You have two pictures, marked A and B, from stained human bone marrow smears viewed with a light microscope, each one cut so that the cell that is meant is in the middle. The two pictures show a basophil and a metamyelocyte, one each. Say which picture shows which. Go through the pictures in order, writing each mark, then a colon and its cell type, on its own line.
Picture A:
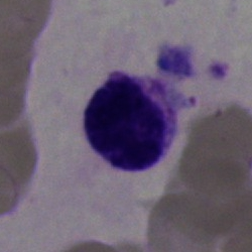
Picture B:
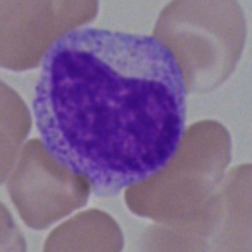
A: basophil
B: metamyelocyte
